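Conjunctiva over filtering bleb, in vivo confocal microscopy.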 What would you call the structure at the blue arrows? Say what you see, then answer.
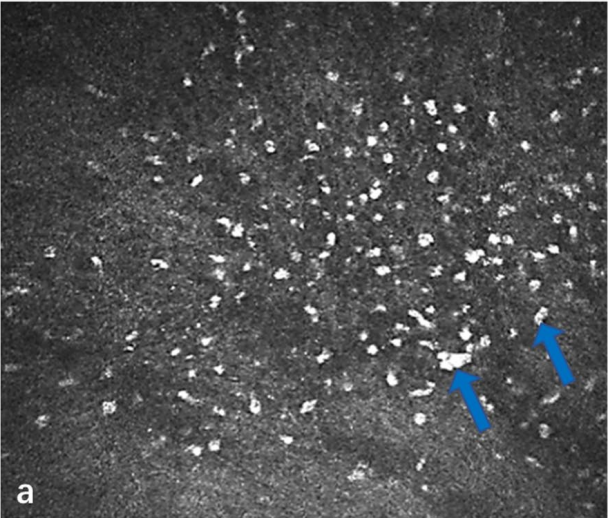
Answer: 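Many small bright white dots are scattered over a dark grey background.
Answer: hyperreflective dots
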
